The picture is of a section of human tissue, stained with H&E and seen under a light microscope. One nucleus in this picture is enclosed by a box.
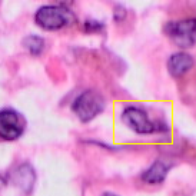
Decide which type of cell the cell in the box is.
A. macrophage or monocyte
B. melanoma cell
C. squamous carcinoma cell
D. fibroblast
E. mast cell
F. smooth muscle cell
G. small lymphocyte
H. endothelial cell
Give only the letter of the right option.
A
